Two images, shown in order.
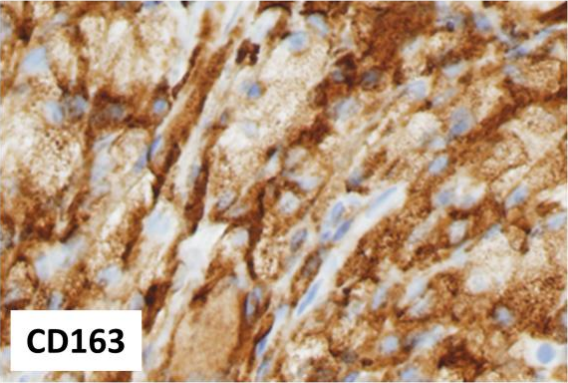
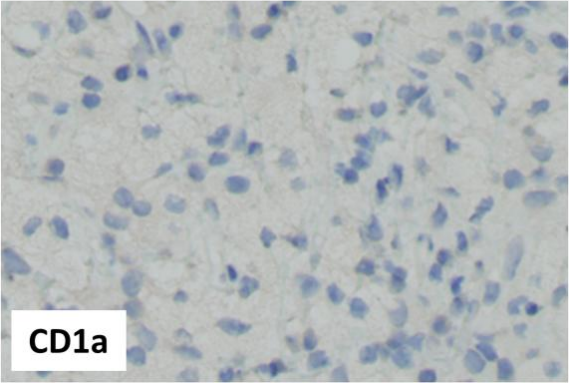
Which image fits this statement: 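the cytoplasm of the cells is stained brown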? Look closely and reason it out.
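Second image: cells show only blue nuclei with pale unstained cytoplasm. First image: dense brown stain fills the cytoplasm of most cells. The answer: the first image.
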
